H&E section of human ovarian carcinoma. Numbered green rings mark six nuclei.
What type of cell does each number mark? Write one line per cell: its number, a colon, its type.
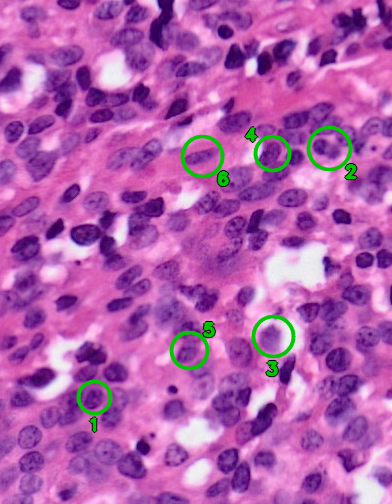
1: carcinoma cell
2: macrophage or monocyte
3: carcinoma cell
4: carcinoma cell
5: carcinoma cell
6: endothelial cell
